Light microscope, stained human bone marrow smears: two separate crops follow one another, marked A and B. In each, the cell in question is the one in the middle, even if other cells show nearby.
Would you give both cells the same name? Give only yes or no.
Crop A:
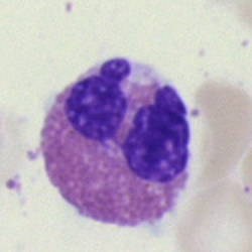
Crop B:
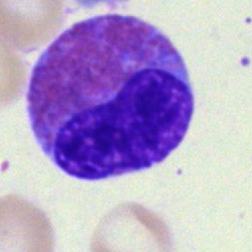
yes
